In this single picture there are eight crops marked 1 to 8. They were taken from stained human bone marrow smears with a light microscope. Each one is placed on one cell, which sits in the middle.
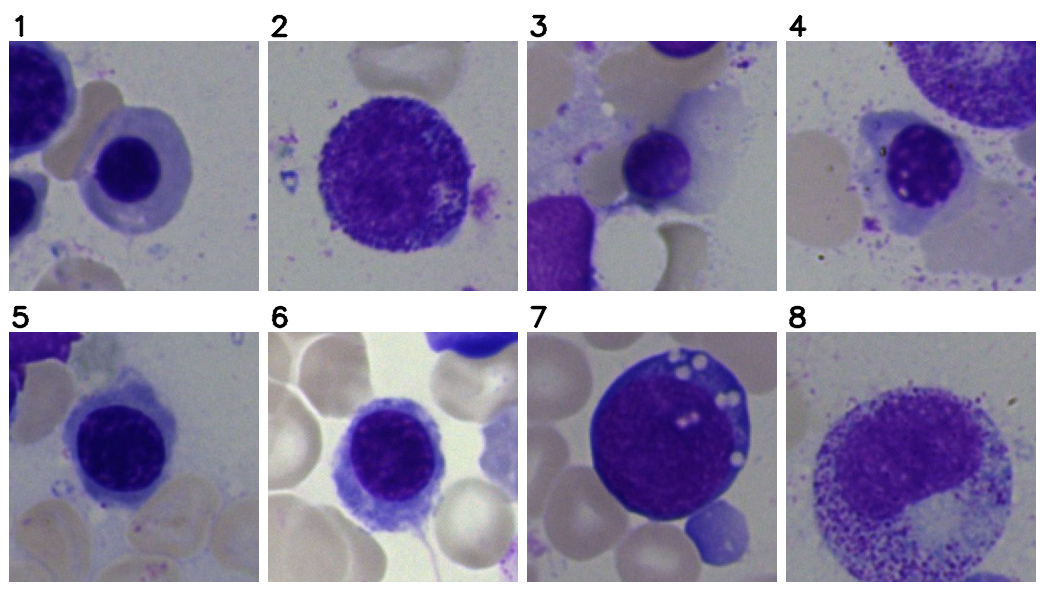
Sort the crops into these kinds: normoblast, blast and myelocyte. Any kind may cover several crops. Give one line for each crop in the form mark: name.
1: normoblast
2: myelocyte
3: normoblast
4: normoblast
5: normoblast
6: normoblast
7: blast
8: myelocyte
